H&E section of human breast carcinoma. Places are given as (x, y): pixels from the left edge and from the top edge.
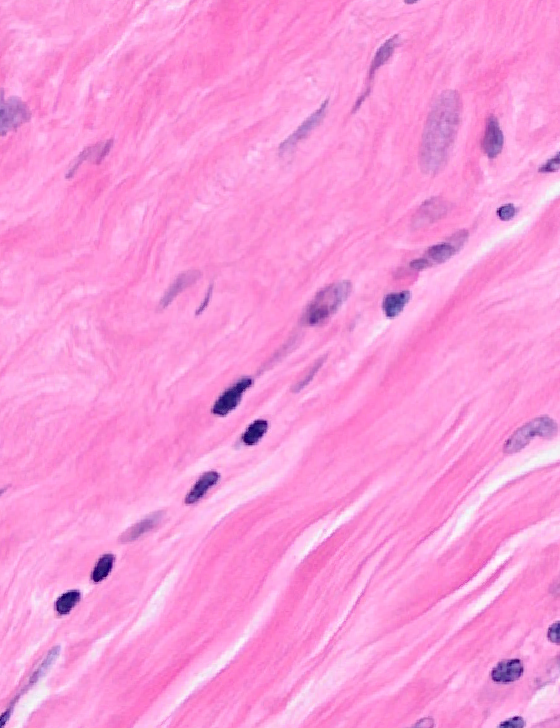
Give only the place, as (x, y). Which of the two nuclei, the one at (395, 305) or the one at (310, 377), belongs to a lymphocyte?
(395, 305)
